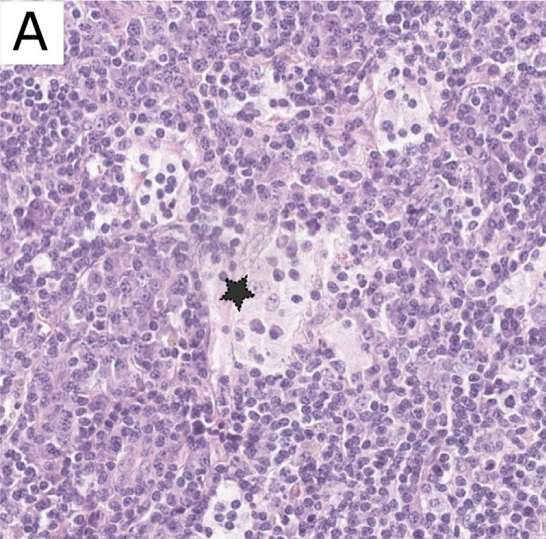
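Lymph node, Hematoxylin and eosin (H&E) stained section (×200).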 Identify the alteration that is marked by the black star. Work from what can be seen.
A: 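Pale, large cells with abundant pink cytoplasm lie in clear spaces amid dense small dark lymphocytes. Small dark nuclei lie within the pale cells.
Hence: histiocytic infiltration with emperipolesis.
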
